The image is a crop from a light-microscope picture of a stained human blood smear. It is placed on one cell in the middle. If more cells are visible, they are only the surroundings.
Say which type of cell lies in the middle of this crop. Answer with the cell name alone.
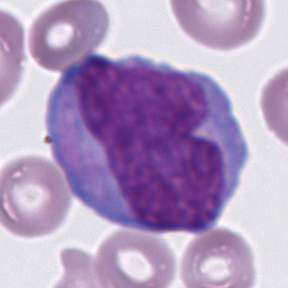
atypical promyelocyte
